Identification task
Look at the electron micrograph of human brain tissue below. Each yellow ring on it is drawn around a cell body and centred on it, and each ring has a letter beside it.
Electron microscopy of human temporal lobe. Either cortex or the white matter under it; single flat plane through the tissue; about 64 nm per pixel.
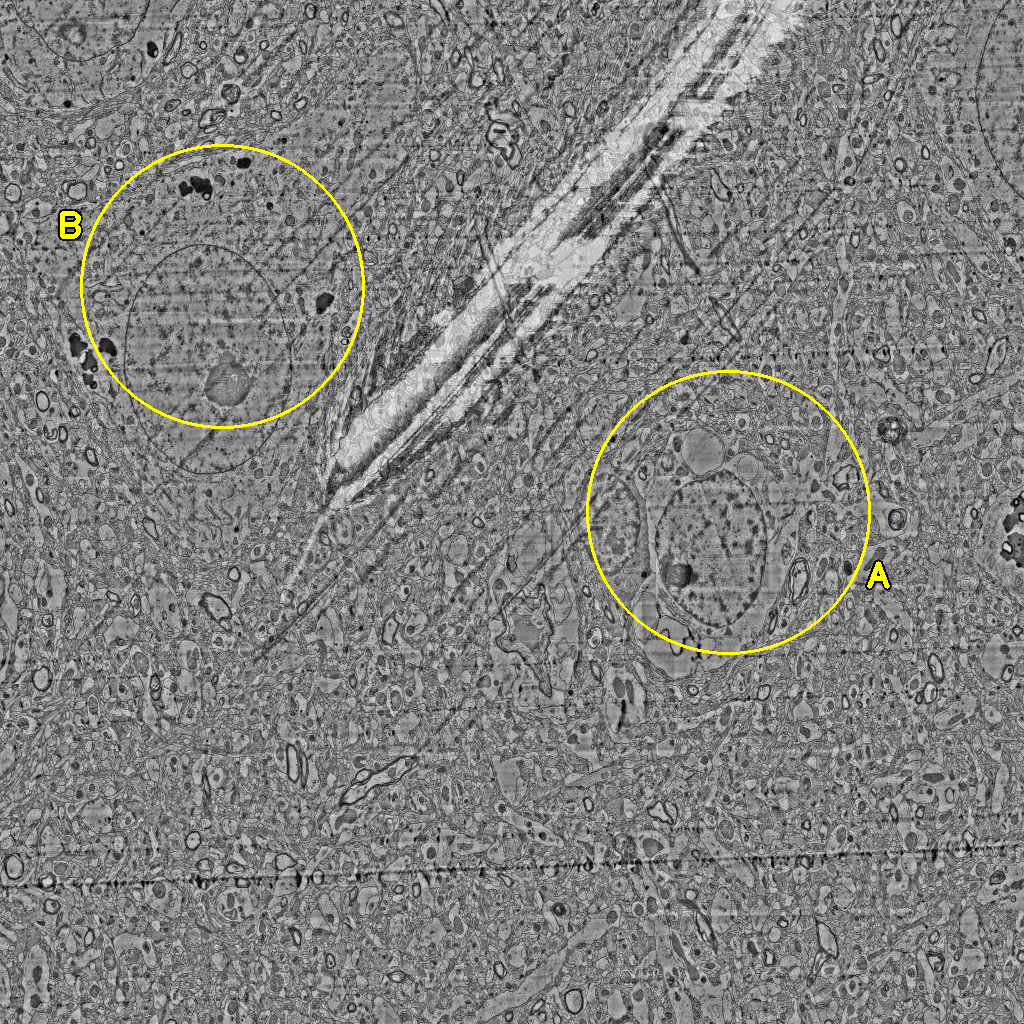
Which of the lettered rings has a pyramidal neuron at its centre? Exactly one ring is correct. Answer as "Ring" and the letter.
Ring B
